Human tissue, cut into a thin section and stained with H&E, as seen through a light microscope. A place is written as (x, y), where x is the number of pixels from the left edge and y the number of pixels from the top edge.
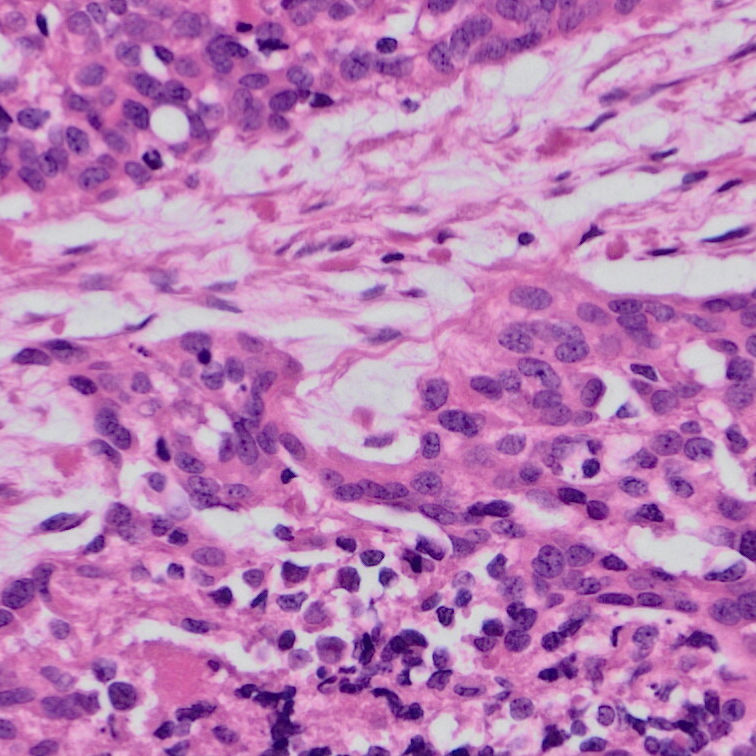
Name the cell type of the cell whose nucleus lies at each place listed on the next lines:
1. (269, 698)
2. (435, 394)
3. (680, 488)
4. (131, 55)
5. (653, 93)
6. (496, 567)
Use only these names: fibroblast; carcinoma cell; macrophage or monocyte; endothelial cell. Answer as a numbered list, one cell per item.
1. carcinoma cell
2. carcinoma cell
3. macrophage or monocyte
4. carcinoma cell
5. fibroblast
6. carcinoma cell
